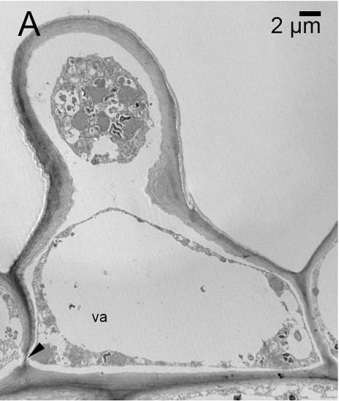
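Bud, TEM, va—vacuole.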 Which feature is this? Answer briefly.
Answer: Obpyriform papilla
